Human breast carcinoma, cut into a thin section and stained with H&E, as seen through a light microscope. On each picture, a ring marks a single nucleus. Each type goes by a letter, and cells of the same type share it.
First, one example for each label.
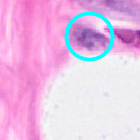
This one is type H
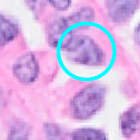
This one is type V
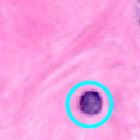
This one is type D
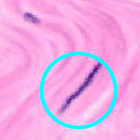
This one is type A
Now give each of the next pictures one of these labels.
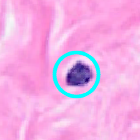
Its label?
type D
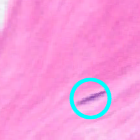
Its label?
type A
